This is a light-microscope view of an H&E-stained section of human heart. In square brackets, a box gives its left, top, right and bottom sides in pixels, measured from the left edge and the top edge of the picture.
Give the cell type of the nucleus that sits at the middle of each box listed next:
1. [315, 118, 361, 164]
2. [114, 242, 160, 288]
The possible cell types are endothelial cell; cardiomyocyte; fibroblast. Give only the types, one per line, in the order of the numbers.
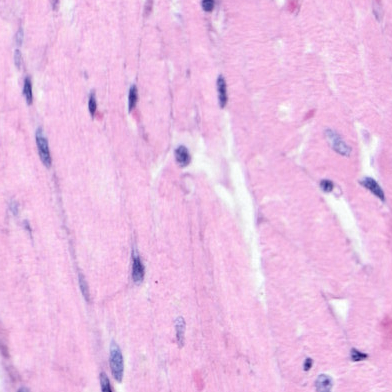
cardiomyocyte
endothelial cell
